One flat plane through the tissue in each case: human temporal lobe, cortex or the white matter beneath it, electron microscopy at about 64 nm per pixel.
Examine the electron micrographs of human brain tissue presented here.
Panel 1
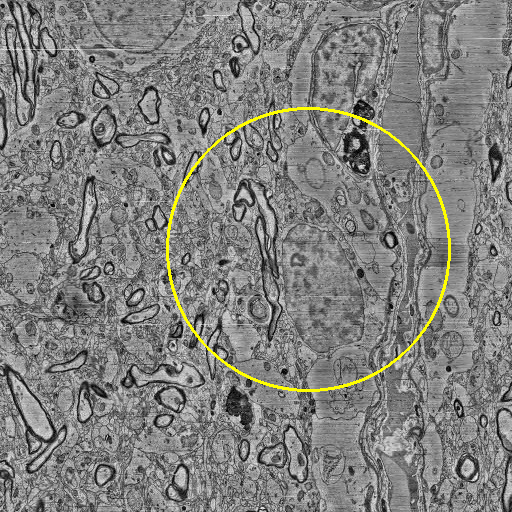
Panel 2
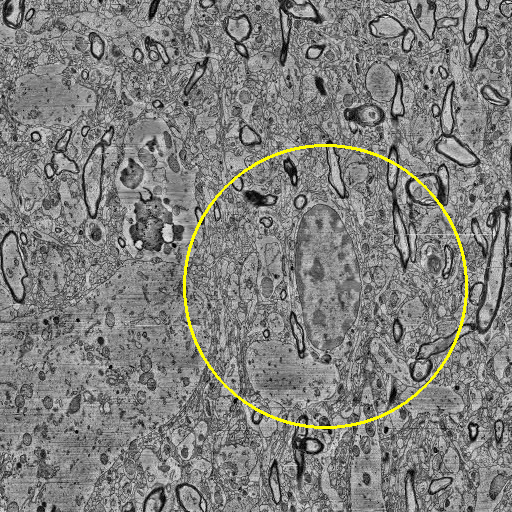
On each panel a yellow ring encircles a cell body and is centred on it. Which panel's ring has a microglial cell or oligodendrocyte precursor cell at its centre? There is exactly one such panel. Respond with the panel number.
2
